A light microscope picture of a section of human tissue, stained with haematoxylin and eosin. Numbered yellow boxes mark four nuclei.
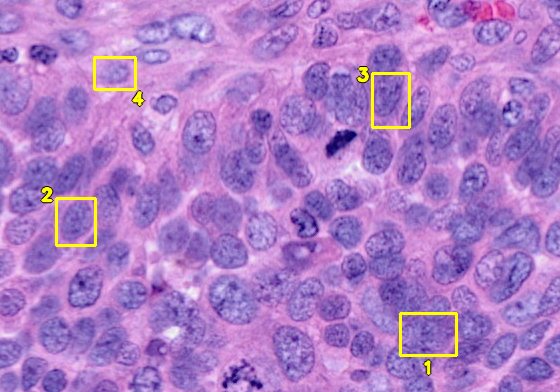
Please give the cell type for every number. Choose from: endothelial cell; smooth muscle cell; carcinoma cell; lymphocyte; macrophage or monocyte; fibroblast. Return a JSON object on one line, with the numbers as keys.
{"1": "carcinoma cell", "2": "carcinoma cell", "3": "carcinoma cell", "4": "fibroblast"}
